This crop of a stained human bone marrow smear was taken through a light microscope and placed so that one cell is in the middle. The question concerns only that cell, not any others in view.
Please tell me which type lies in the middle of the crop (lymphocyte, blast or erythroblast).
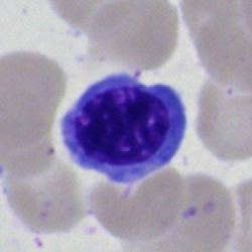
erythroblast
